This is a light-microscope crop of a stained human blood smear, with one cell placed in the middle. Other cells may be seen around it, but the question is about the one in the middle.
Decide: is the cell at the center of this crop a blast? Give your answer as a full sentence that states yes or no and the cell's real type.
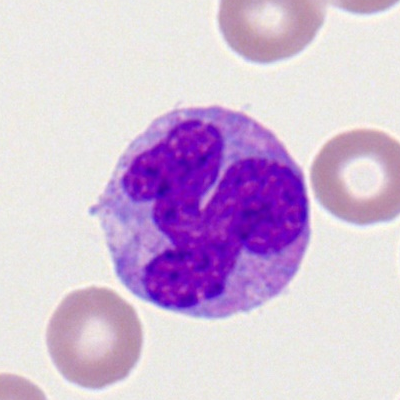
No, the cell at the centre is categorised not as a blast but as a monocyte.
